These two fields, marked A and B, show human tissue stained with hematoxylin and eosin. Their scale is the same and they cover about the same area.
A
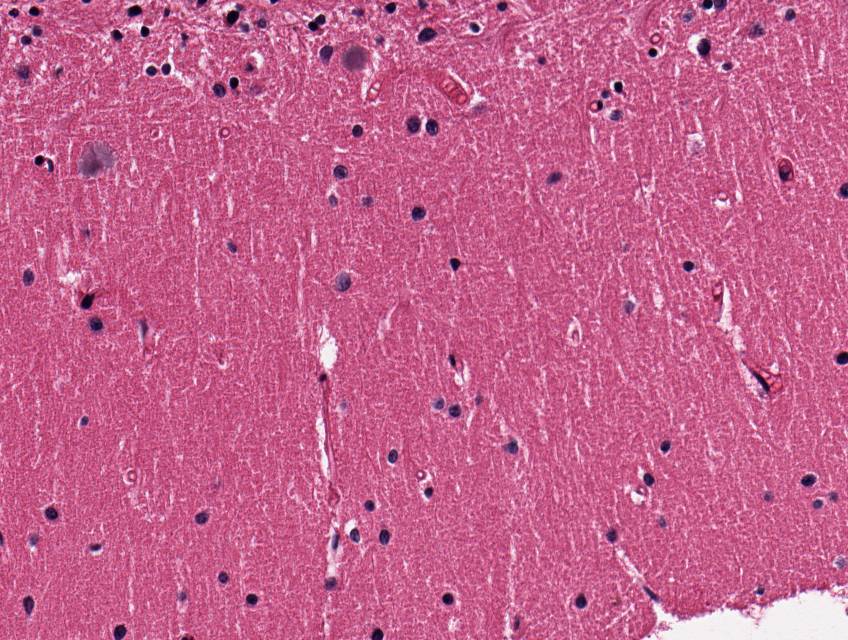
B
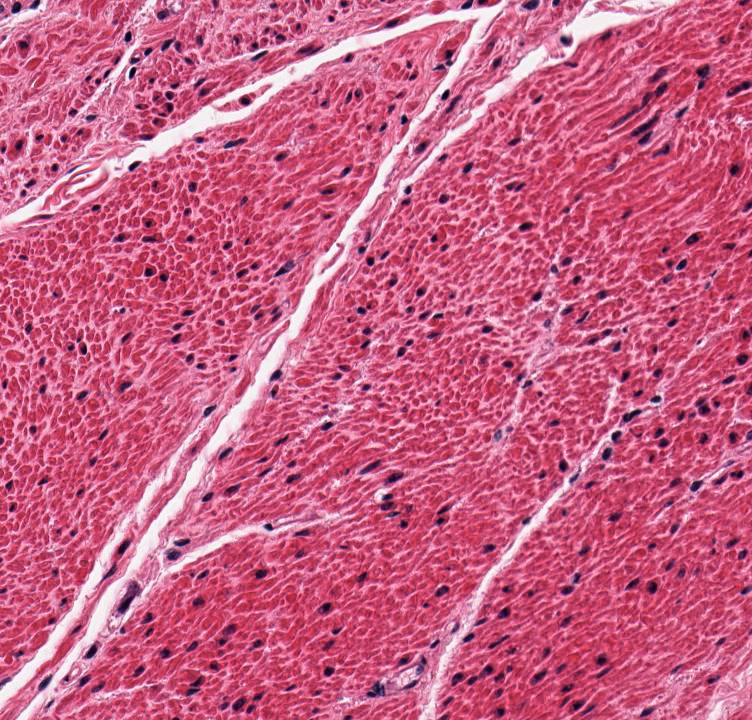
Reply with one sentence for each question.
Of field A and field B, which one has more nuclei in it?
Field B holds more nuclei than field A.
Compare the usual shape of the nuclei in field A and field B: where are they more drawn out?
The nuclei are more elongated in field B.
